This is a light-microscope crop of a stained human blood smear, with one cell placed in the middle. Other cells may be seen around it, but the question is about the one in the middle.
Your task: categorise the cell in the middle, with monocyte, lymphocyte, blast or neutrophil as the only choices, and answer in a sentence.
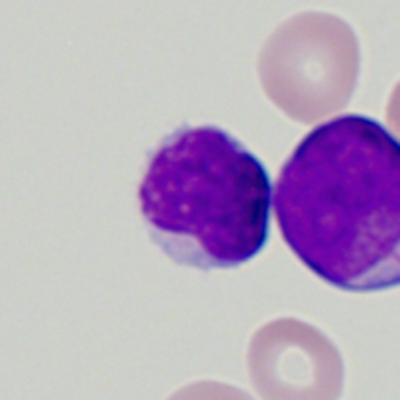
The centrally located cell in the crop is a lymphocyte.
